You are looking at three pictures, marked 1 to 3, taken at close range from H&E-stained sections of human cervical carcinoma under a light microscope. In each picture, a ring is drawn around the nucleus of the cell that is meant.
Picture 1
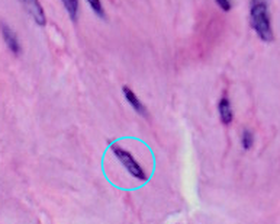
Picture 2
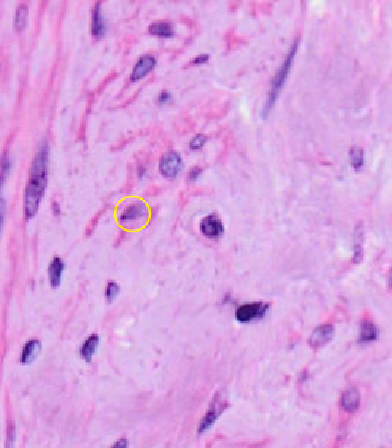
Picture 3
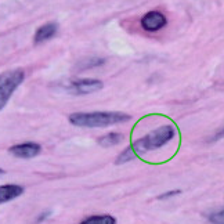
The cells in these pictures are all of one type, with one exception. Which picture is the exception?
2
